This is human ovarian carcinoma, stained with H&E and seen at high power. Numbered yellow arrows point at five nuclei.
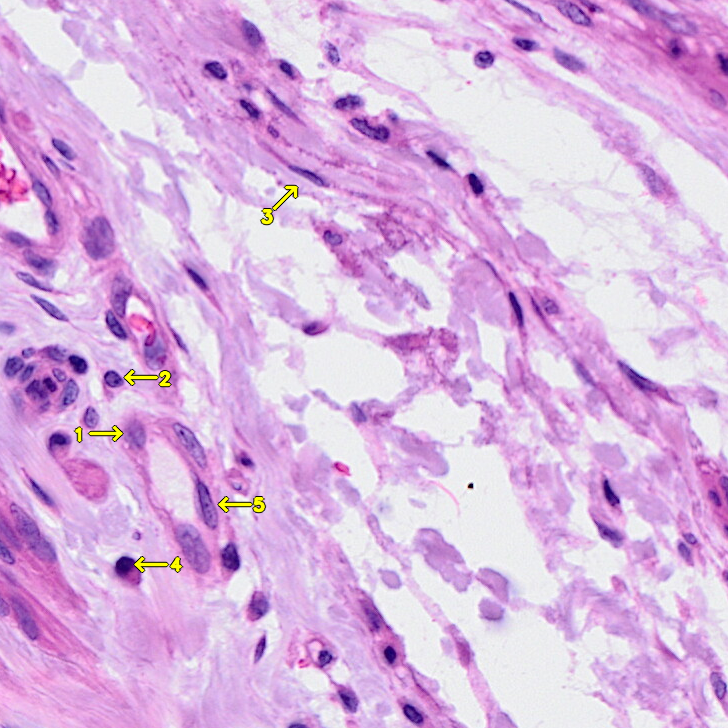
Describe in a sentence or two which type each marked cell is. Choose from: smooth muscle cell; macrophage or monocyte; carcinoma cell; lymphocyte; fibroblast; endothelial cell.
Cells 1 and 5 are endothelial cells. Cells 2 and 4 are lymphocytes. Cell 3 is a fibroblast.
